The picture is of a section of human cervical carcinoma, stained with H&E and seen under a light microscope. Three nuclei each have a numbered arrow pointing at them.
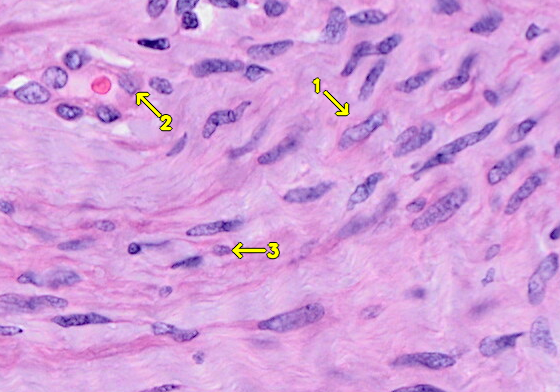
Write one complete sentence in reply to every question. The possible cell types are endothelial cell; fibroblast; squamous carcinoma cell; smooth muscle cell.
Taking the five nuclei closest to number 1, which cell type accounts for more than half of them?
Of the five nuclei nearest to number 1, most belong to fibroblasts.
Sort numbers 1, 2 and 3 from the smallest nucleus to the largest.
From smallest to largest, the order is 3, 2, 1.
